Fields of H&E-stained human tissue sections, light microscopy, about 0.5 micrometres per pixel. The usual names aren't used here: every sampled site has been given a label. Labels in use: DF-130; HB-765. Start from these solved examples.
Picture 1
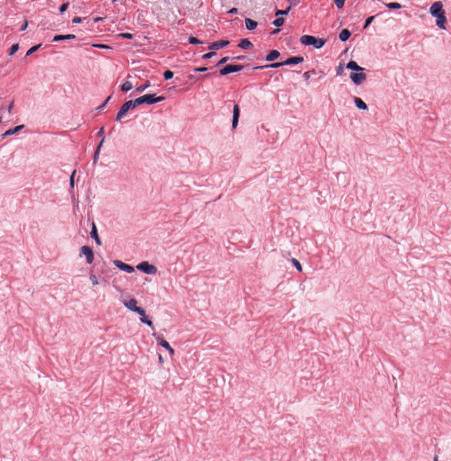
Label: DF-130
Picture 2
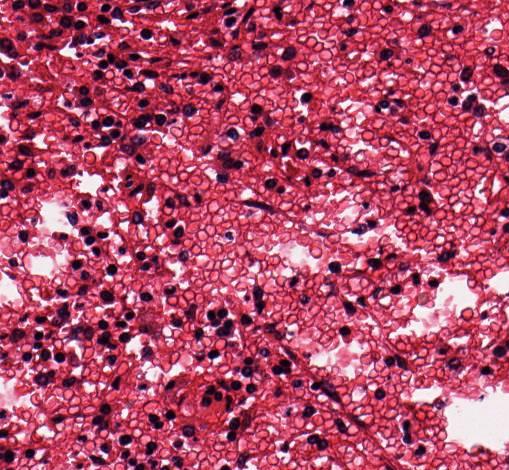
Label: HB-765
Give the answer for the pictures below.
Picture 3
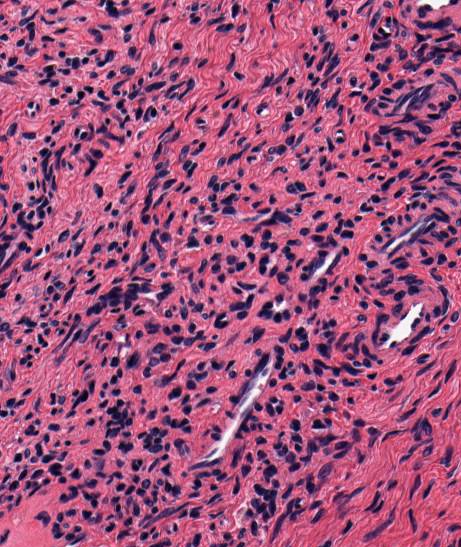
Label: DF-130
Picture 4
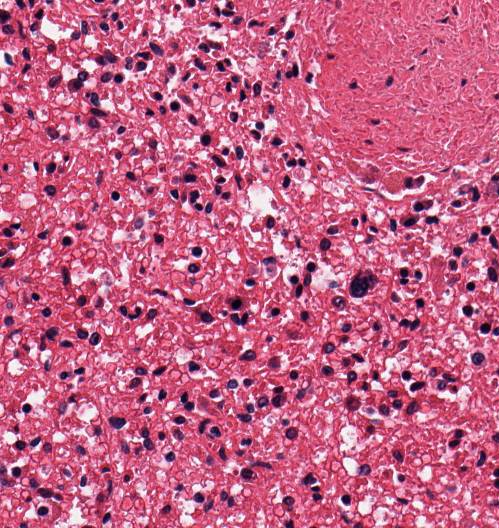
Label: HB-765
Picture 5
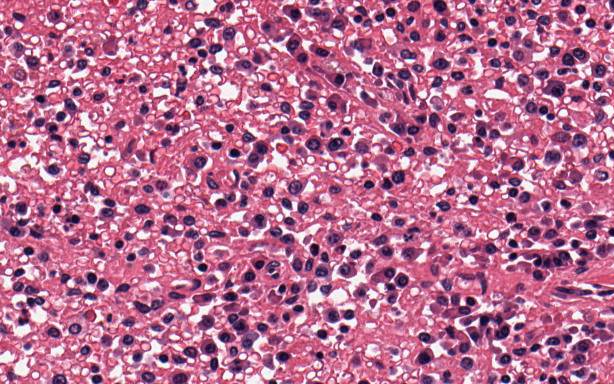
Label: HB-765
